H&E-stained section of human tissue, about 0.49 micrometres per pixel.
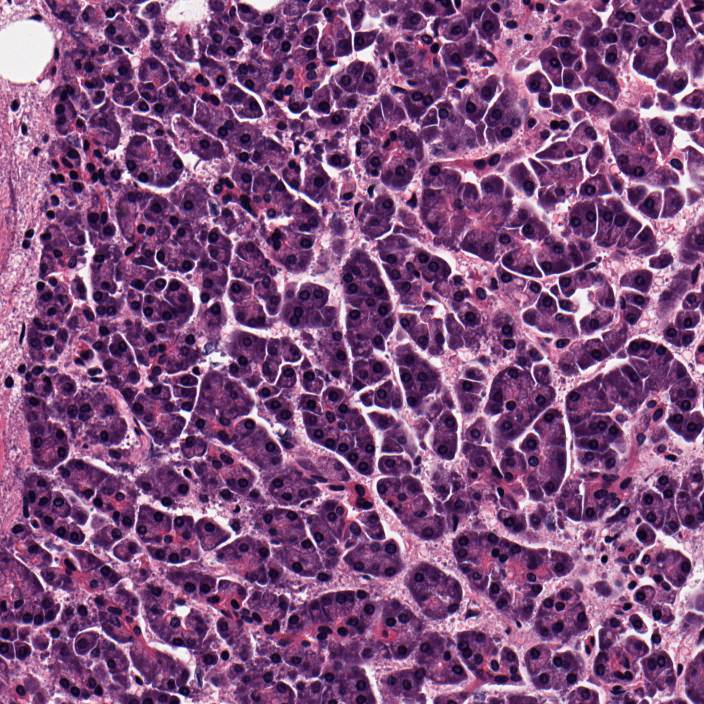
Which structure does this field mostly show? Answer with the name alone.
exocrine pancreas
